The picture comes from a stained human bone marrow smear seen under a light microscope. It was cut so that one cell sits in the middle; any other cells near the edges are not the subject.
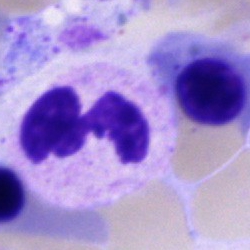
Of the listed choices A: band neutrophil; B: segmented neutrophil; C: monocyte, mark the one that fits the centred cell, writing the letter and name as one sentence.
Option B stands as correct, the central cell being a segmented neutrophil.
